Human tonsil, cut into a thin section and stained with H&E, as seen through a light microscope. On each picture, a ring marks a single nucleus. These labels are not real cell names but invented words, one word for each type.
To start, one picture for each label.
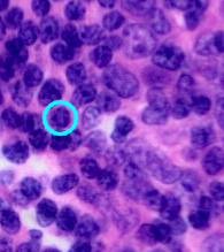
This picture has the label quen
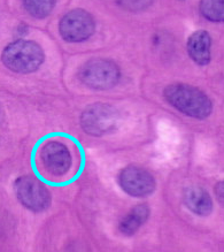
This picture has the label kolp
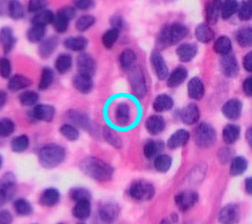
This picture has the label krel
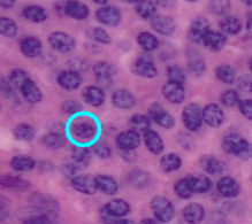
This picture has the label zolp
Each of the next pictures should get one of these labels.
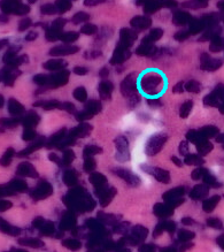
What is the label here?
krel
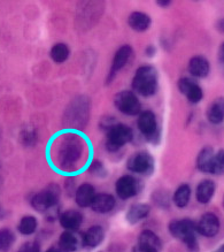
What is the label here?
krel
